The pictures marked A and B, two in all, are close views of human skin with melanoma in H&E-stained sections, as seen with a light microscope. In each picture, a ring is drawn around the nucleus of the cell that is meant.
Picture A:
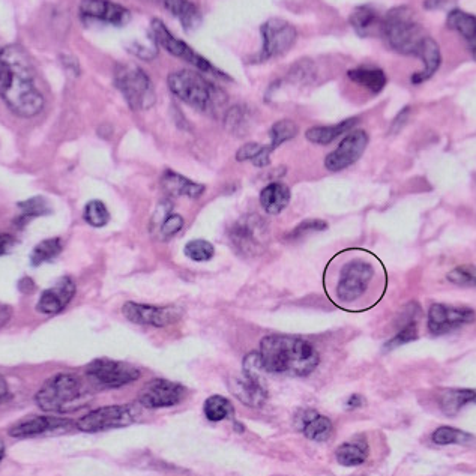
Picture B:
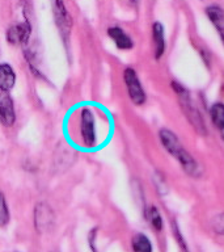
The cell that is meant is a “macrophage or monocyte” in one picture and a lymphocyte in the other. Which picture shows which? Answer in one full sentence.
The cell in picture A is a “macrophage or monocyte”, and the one in picture B is a lymphocyte.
